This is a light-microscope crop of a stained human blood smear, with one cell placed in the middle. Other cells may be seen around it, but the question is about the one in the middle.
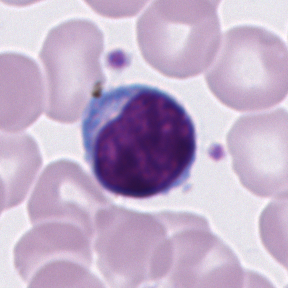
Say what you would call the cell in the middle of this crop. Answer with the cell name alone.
typical lymphocyte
